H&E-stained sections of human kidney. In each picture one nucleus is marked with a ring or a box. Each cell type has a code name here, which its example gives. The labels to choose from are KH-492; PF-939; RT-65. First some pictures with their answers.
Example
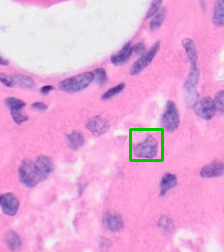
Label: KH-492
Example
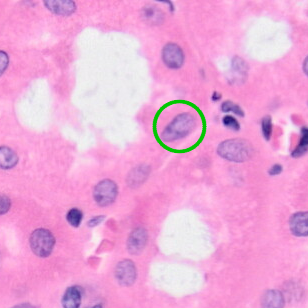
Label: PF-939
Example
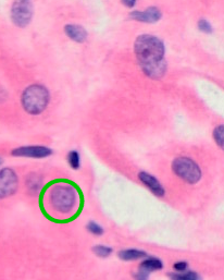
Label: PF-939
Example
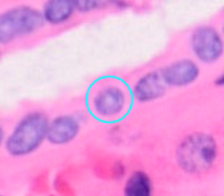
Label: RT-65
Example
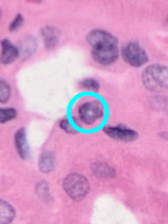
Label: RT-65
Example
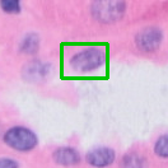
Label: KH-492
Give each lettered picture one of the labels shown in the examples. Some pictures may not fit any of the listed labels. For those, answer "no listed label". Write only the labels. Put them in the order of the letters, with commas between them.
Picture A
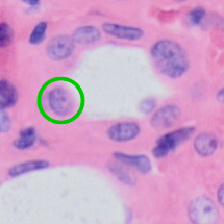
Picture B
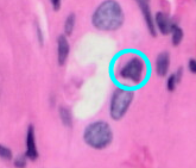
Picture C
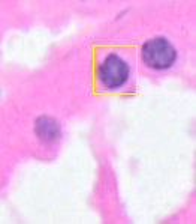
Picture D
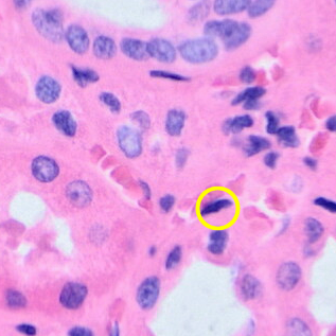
RT-65, RT-65, KH-492, no listed label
